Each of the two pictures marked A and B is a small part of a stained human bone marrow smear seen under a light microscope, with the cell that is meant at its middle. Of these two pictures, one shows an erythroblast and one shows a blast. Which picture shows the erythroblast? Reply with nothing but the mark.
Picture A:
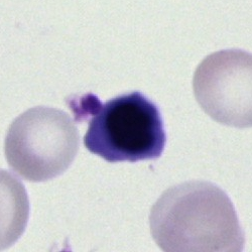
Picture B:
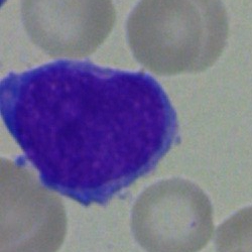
A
